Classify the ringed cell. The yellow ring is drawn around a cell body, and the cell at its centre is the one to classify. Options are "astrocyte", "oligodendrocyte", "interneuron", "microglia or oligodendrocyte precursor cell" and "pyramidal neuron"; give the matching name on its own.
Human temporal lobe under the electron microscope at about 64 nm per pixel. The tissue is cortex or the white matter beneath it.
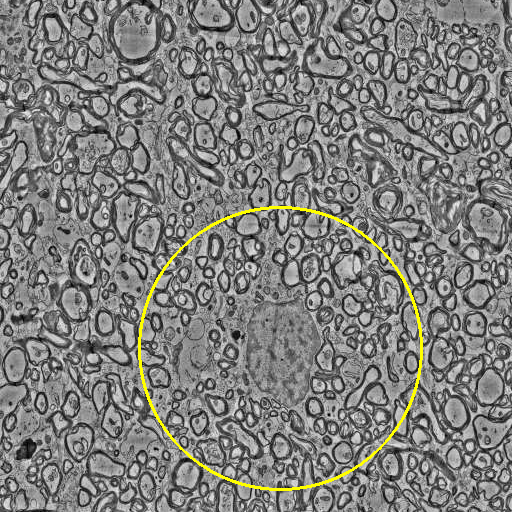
oligodendrocyte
